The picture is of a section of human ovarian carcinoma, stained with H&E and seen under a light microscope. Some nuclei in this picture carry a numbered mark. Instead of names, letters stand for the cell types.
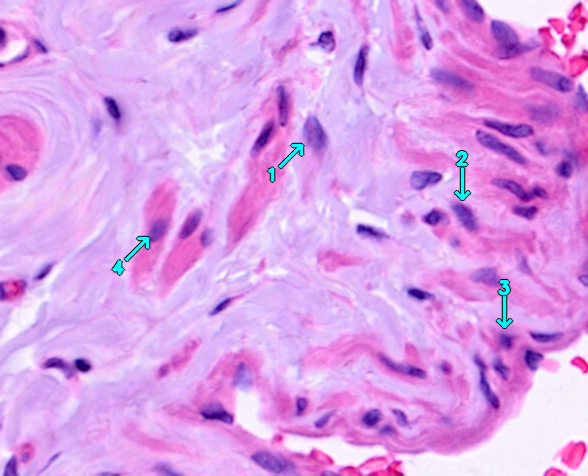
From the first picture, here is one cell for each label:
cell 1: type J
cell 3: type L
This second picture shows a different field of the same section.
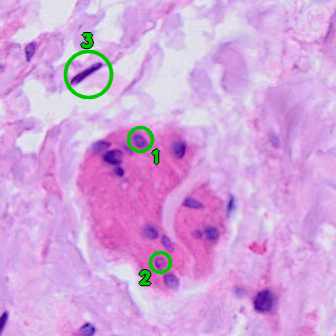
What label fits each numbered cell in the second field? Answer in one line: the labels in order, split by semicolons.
type L; type L; type J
